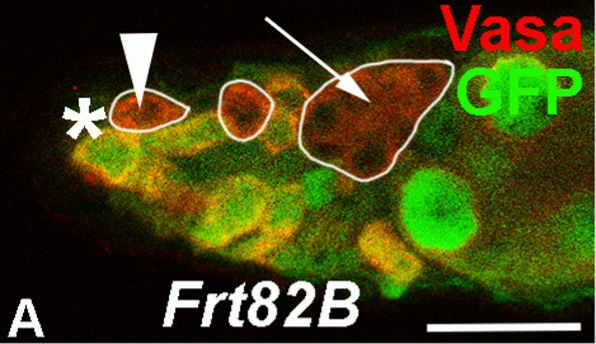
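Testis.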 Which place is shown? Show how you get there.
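The organ narrows to a rounded end at the left. Small cells crowd at this narrow end.
Hence: apical tip.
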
